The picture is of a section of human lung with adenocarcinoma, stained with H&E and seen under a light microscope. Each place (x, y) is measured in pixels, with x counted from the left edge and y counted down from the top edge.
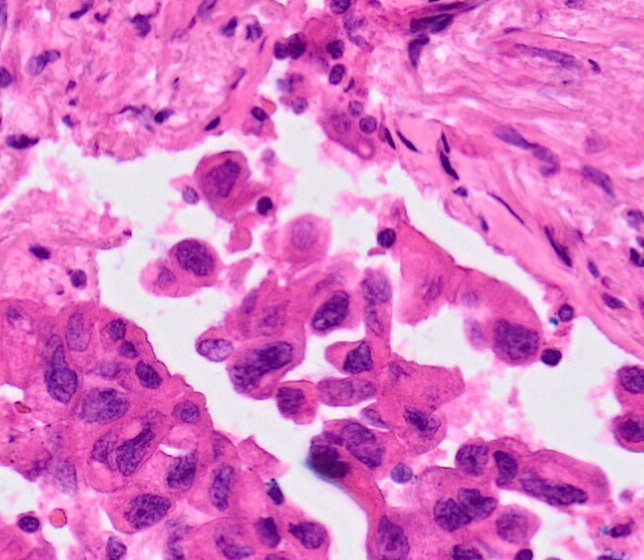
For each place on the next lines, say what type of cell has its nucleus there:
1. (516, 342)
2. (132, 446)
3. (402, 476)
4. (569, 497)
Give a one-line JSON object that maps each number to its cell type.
{"1": "carcinoma cell", "2": "carcinoma cell", "3": "lymphocyte", "4": "carcinoma cell"}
